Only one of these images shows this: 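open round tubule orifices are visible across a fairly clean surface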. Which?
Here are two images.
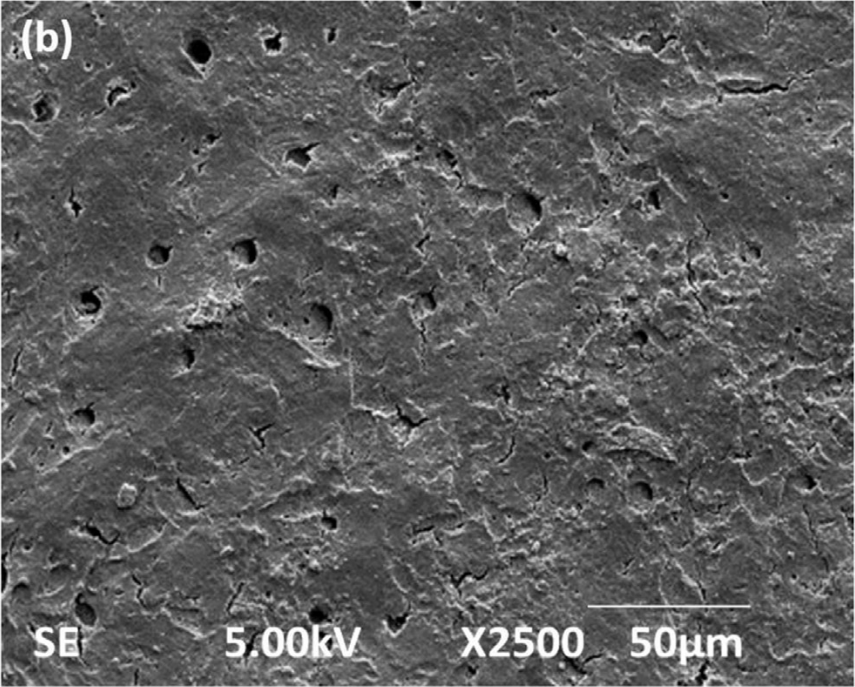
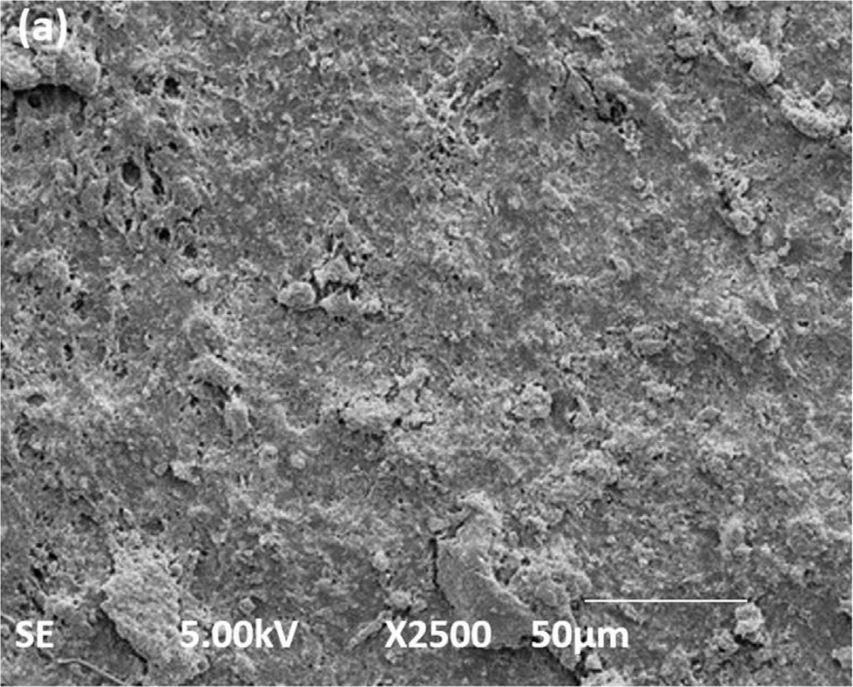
The first image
